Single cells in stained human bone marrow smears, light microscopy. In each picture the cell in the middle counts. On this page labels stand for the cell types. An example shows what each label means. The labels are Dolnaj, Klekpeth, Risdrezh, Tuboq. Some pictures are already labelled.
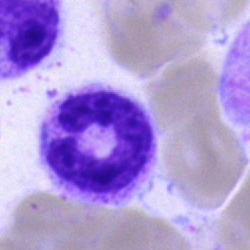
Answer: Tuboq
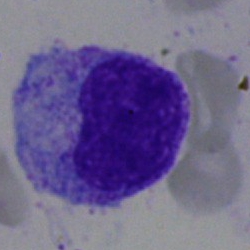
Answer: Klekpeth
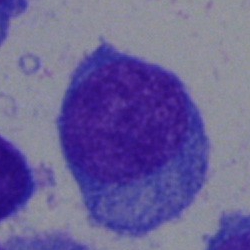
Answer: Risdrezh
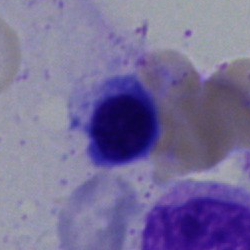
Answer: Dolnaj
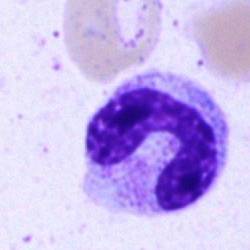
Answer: Tuboq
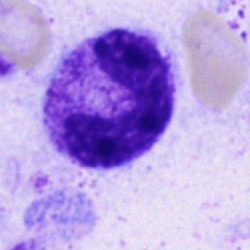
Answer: Tuboq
